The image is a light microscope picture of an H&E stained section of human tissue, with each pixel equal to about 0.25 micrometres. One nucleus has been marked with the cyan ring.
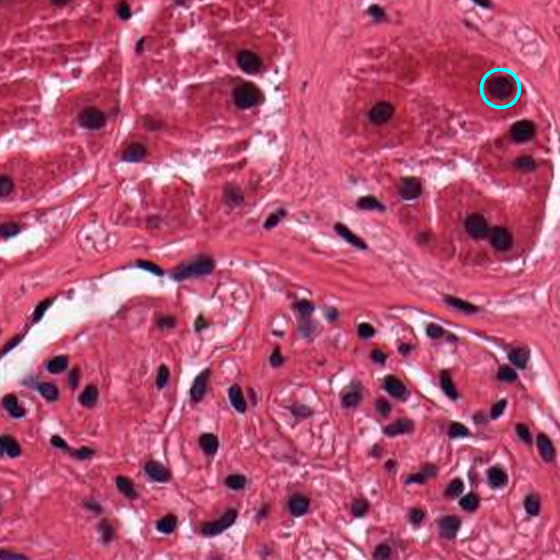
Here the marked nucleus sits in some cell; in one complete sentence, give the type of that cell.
A nucleus of a proximal tubule cell is the one that is marked.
